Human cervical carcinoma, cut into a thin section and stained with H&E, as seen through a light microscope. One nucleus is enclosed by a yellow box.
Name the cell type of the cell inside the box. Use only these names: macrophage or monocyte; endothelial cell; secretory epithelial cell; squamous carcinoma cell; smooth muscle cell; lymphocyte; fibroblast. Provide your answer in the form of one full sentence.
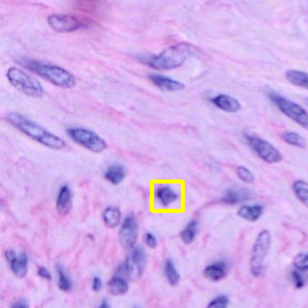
The classification of the cell inside the box is as a smooth muscle cell.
